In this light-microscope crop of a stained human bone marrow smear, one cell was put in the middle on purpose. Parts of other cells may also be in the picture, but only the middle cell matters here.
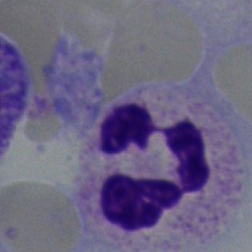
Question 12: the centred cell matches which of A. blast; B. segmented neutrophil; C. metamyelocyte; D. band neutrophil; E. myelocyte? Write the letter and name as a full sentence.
The best answer is option B, since the cell in the middle is a segmented neutrophil.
